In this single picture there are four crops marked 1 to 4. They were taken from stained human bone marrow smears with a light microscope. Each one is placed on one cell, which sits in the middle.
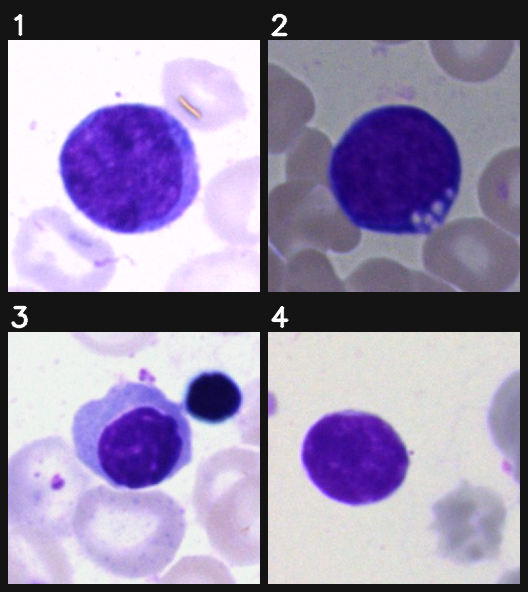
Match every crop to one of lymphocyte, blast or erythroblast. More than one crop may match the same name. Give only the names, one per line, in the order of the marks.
blast
blast
erythroblast
lymphocyte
